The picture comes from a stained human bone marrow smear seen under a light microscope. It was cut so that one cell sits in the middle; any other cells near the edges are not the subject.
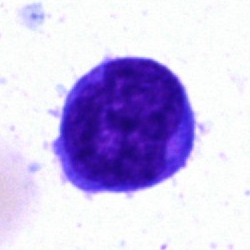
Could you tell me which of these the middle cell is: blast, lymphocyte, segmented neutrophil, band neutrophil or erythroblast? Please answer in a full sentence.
The cell marked by its central position in the crop is a blast.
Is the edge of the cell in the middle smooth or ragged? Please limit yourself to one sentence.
The cell shows an uneven border, formed by ragged areas or by outward projections.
